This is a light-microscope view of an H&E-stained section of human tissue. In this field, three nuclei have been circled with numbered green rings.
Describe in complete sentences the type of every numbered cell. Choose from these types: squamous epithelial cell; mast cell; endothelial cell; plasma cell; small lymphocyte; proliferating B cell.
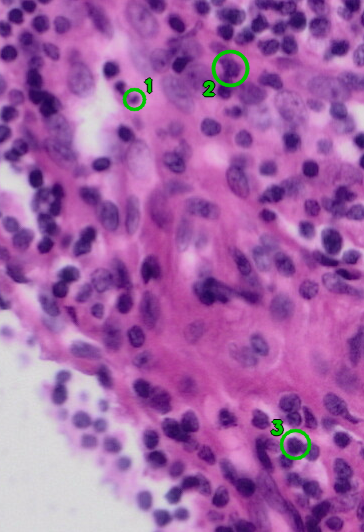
Cells 1 and 2 are endothelial cells. Cell 3 is a small lymphocyte.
